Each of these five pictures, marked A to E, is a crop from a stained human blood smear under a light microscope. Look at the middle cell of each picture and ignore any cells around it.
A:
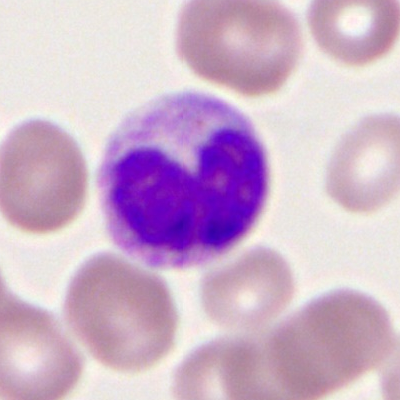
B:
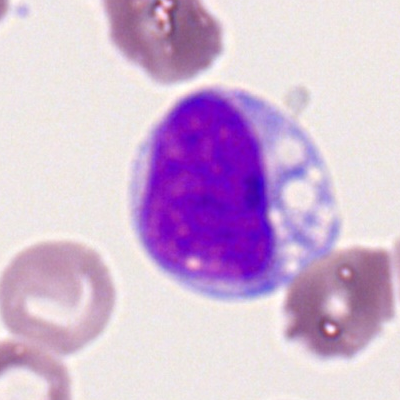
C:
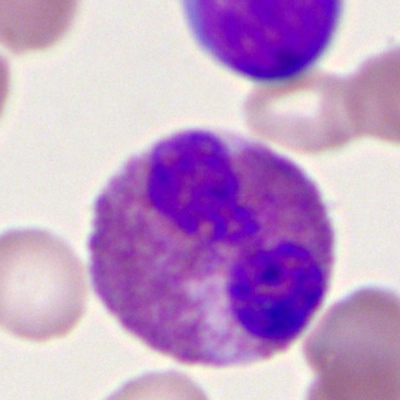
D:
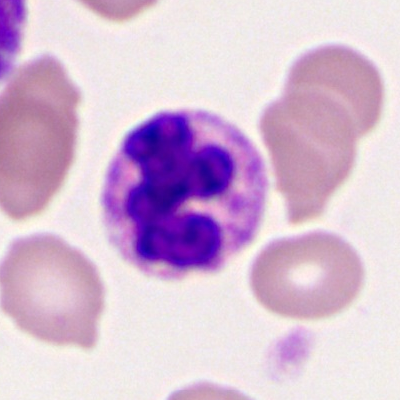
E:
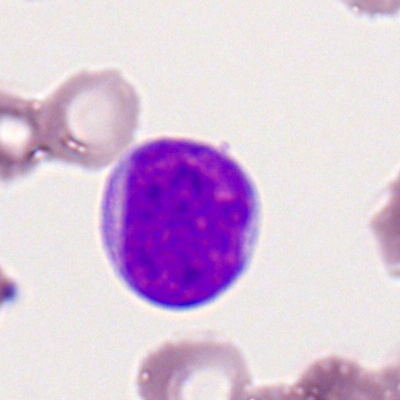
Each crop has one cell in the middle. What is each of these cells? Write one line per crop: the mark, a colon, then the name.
A: band neutrophil
B: monocyte
C: eosinophil
D: segmented neutrophil
E: myeloblast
